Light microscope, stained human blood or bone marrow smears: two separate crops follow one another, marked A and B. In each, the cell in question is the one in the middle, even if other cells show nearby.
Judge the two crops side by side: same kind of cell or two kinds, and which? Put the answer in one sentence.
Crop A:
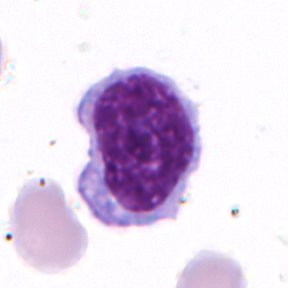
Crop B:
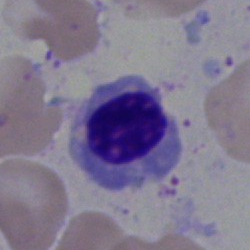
No, the cell centred in crop B is an erythroblast; crop A centres on a plasma cell.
